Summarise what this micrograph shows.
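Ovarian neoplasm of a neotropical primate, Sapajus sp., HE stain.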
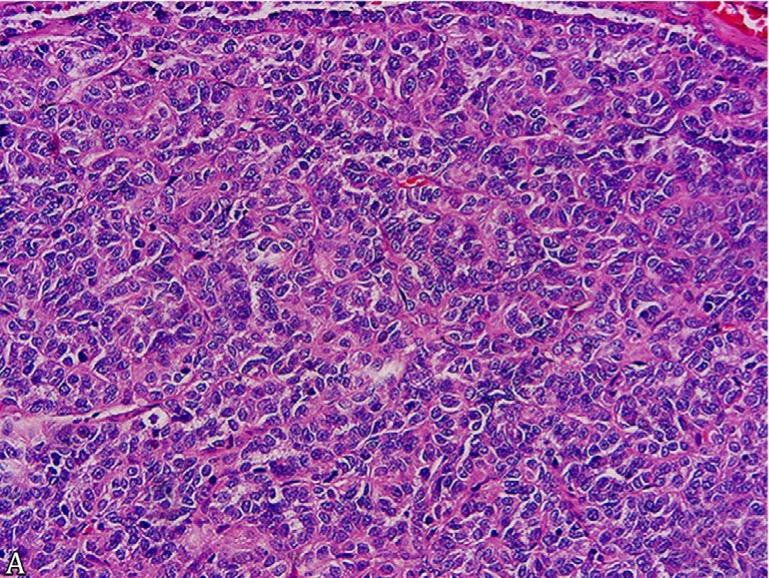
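This is a granulosa cell tumor of the ovary, made of densely packed, well-differentiated granulosa cells. The cells are uniform, with oval to angular, darkly purple nuclei and scant pale pink cytoplasm. They are arranged in nests and sheets. Thin pale pink strands of fibrovascular stroma, with a few small vessels containing red blood cells, run between and support the nests.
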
